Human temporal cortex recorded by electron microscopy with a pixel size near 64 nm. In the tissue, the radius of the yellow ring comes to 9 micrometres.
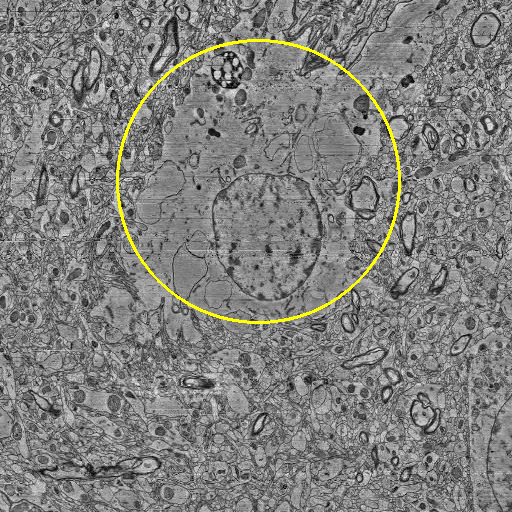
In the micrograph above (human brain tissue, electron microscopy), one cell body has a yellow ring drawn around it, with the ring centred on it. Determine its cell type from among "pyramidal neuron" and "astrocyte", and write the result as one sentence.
The cell whose body is ringed is an astrocyte.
